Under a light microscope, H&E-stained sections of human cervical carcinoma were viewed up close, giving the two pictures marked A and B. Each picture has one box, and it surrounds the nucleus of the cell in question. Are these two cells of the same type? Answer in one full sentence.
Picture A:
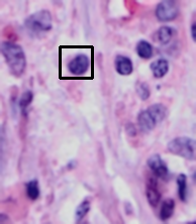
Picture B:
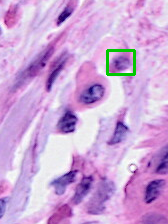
No; the cell in picture A is a lymphocyte, while the one in picture B is a “macrophage or monocyte”.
